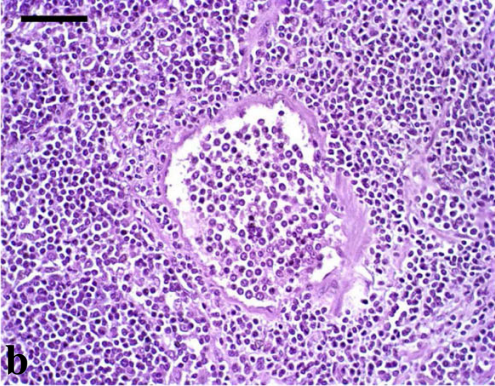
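A tumor mass made of sheets of neoplastic lymphoid cells with small round, darkly staining nuclei and scant cytoplasm. In the centre a blood vessel, lined by a thin pink wall, has its lumen filled with the same round tumor cells, an area of vascular invasion.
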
